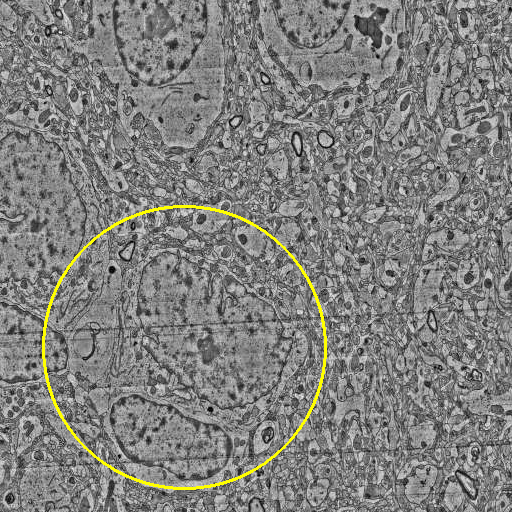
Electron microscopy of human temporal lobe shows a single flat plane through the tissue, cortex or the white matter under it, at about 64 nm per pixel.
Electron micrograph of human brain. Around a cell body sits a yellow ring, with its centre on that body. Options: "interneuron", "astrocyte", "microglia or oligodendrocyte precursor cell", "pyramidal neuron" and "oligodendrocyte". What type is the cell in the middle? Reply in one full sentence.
The cell sitting at the centre of the yellow ring is an interneuron.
